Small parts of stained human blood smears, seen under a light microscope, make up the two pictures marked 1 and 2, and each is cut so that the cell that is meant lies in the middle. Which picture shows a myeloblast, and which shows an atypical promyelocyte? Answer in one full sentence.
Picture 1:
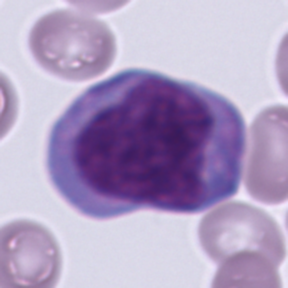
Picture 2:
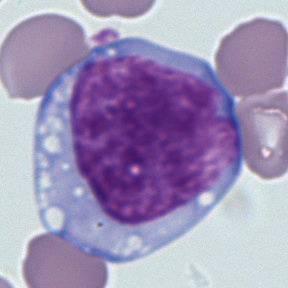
Picture 1 shows an atypical promyelocyte and picture 2 shows a myeloblast.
